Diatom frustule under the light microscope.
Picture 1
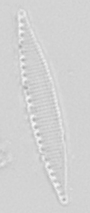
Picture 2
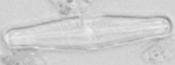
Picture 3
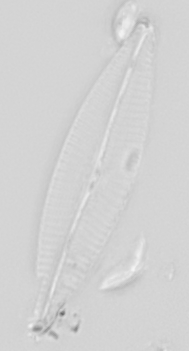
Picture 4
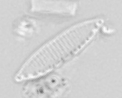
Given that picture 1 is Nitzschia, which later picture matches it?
4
